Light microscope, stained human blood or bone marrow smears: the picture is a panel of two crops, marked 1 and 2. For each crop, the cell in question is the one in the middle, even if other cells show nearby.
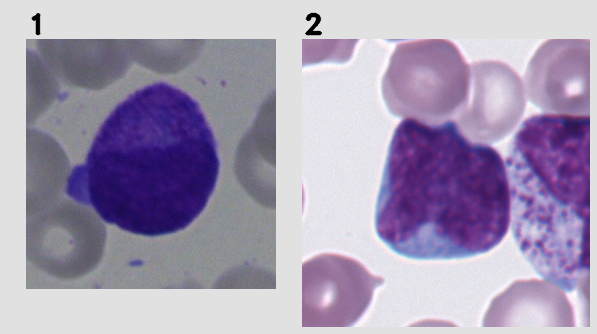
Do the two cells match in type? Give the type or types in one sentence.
Yes, the middle cells in both crops are indeed blasts.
